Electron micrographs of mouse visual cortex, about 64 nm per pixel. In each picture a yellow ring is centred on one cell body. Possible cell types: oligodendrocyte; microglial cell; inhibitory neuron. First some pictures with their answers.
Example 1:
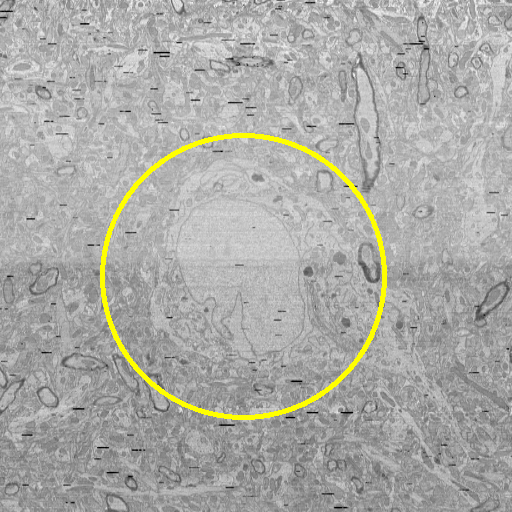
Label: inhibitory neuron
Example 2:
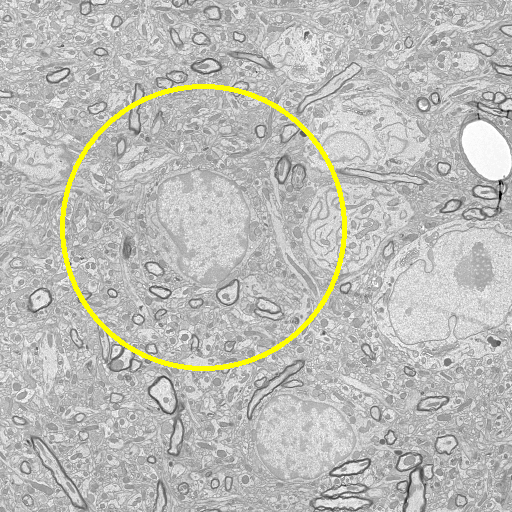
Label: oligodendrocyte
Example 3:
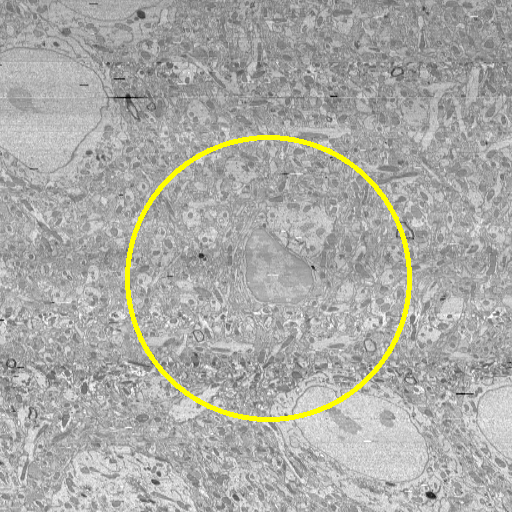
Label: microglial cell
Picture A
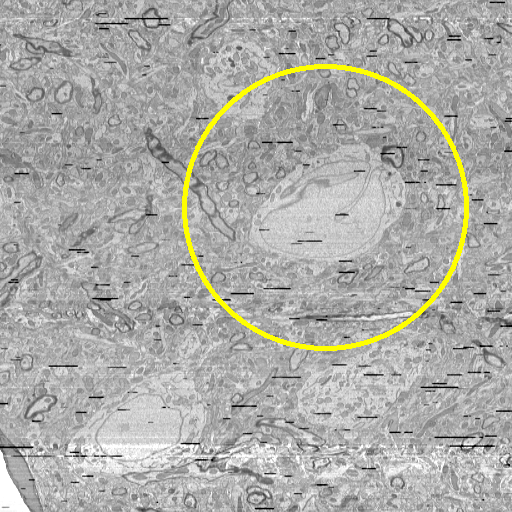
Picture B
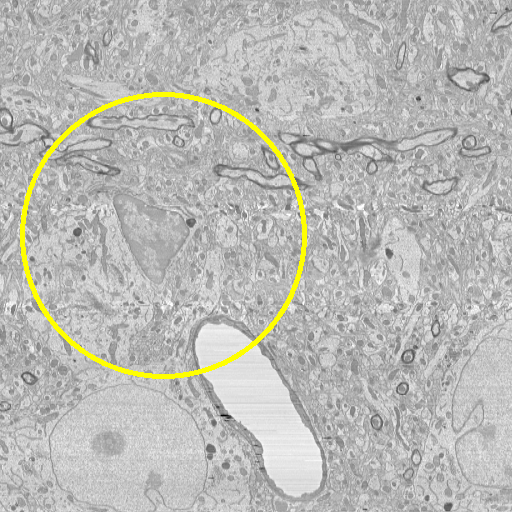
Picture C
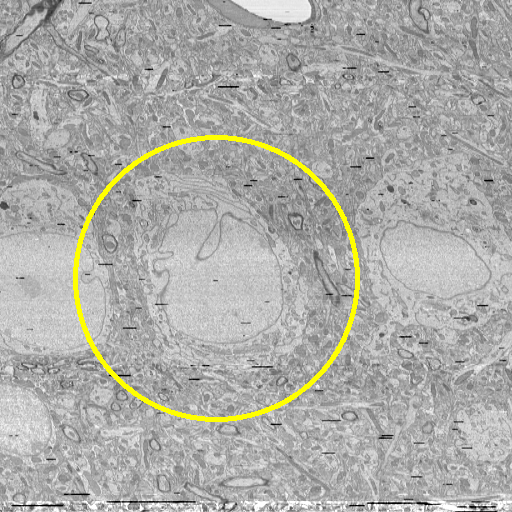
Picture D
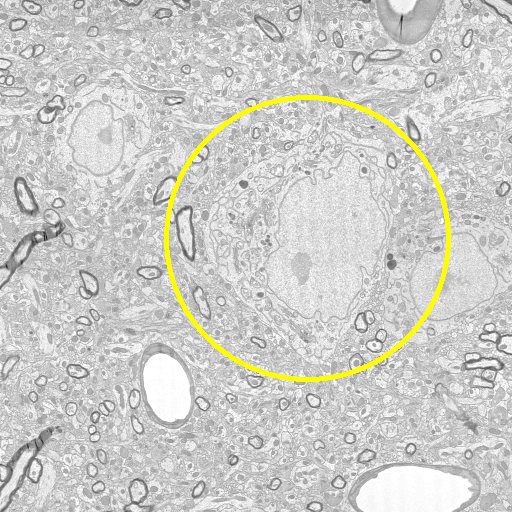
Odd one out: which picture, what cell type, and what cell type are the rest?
Picture B: microglial cell. All others: inhibitory neuron.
